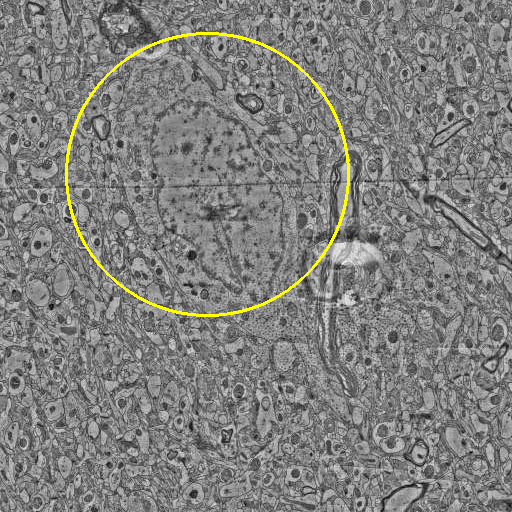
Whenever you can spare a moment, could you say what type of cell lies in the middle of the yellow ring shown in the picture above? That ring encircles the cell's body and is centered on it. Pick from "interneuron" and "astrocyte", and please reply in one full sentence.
The cell whose body sits at the middle of the yellow ring is an interneuron.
